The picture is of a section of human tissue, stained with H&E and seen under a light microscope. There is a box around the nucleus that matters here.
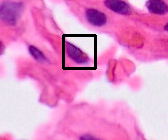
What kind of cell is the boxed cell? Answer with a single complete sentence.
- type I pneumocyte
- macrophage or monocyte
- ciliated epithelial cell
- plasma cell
In this section, the boxed cell is a type I pneumocyte.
